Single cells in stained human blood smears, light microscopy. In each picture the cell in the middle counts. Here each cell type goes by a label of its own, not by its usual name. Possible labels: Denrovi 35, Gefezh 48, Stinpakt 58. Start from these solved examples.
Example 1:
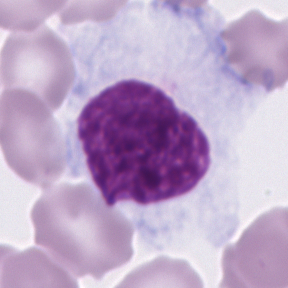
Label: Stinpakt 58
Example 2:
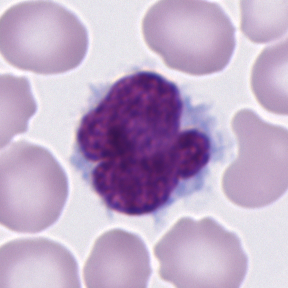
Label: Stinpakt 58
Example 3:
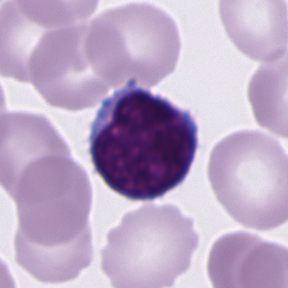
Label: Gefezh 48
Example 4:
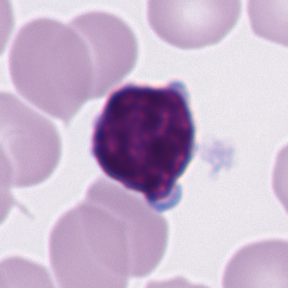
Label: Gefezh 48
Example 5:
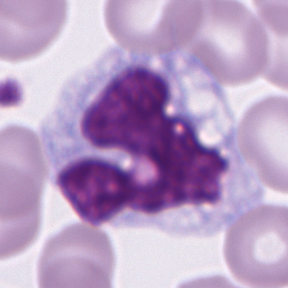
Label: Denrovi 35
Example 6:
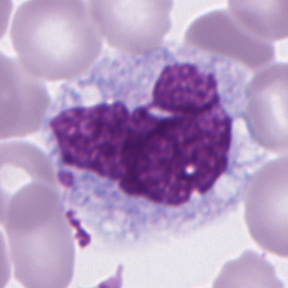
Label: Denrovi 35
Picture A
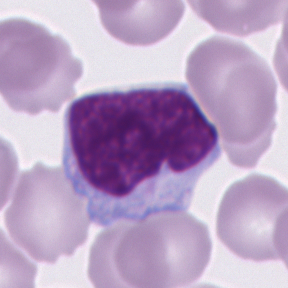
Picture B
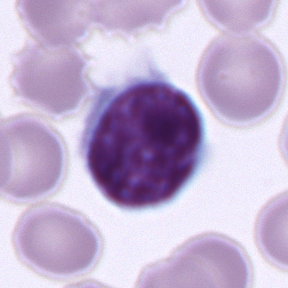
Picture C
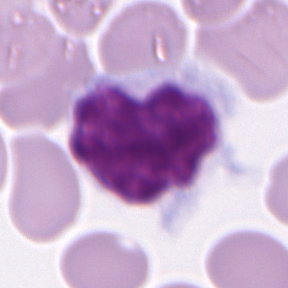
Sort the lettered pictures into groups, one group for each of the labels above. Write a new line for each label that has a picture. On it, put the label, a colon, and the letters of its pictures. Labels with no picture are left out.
Gefezh 48: A, B
Stinpakt 58: C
